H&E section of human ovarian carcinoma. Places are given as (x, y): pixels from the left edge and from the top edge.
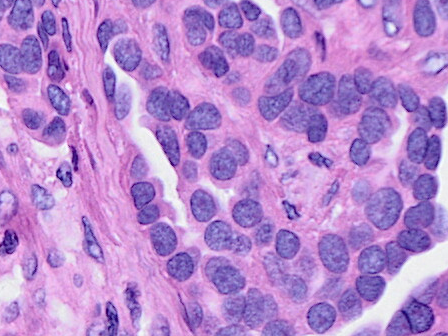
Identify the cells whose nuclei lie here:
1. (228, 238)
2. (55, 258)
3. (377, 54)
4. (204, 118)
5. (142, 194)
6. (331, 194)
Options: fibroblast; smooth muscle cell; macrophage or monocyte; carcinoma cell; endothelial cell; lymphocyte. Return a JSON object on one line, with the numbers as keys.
{"1": "carcinoma cell", "2": "fibroblast", "3": "fibroblast", "4": "carcinoma cell", "5": "carcinoma cell", "6": "fibroblast"}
